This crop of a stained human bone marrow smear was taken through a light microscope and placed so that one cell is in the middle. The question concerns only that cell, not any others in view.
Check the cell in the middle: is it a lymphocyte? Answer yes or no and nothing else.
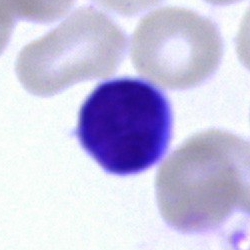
yes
